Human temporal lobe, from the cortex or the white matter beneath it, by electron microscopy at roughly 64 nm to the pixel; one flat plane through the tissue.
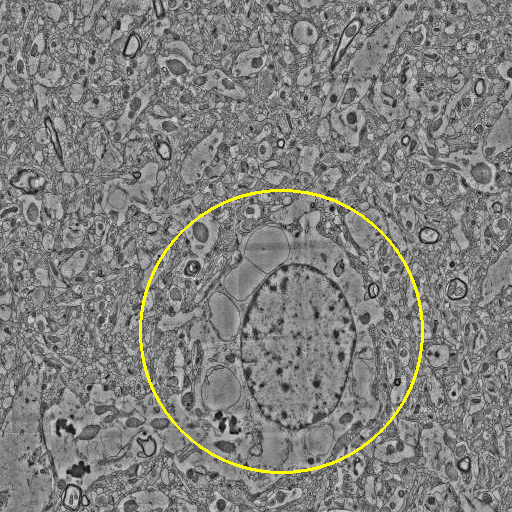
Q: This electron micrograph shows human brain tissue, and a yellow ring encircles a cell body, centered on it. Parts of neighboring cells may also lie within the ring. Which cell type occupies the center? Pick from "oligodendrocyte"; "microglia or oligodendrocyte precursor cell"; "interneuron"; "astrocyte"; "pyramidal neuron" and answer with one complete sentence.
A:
What sits at the ring's center in this micrograph is an astrocyte, among those choices.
